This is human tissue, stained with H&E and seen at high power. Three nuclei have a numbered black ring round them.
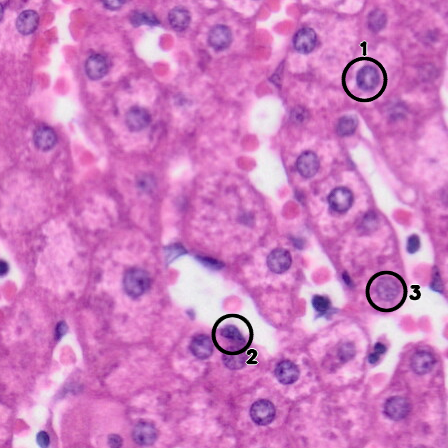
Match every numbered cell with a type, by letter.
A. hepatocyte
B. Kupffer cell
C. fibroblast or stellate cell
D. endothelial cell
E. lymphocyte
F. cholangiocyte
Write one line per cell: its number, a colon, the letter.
1: A
2: B
3: A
